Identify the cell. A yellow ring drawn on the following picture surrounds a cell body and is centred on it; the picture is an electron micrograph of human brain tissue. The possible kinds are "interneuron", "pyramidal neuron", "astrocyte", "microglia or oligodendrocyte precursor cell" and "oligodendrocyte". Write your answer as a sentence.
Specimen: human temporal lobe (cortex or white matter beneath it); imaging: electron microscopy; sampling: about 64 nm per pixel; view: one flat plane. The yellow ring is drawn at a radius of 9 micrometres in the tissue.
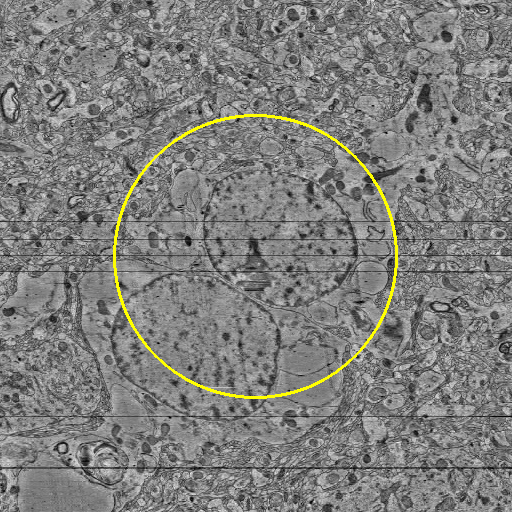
The cell identified by the ring is an astrocyte.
